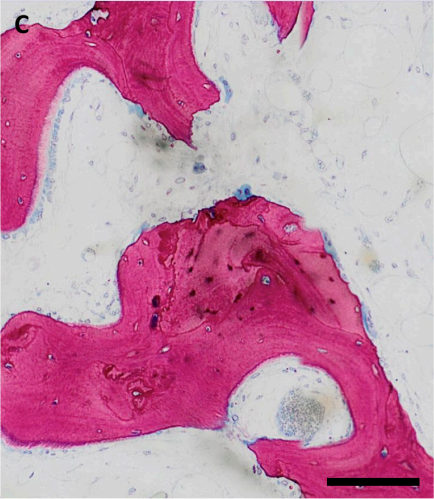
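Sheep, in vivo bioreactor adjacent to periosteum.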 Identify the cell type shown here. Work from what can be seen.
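Small dark cells sit in lacunae scattered through the pink bone matrix.
Viable osteocytes.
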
